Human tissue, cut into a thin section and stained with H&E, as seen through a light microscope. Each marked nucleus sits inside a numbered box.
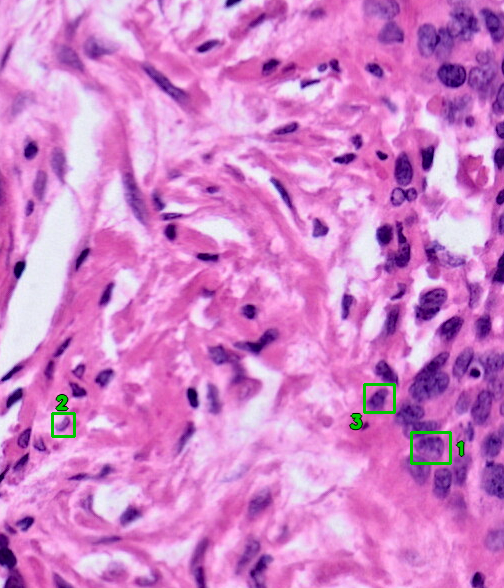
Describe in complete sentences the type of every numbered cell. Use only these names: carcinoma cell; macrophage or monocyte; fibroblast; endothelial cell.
Cell 1 is a carcinoma cell, cell 2 is a fibroblast and cell 3 is a macrophage or monocyte.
